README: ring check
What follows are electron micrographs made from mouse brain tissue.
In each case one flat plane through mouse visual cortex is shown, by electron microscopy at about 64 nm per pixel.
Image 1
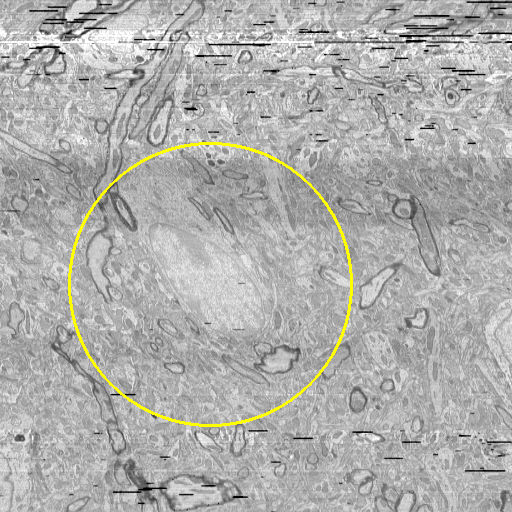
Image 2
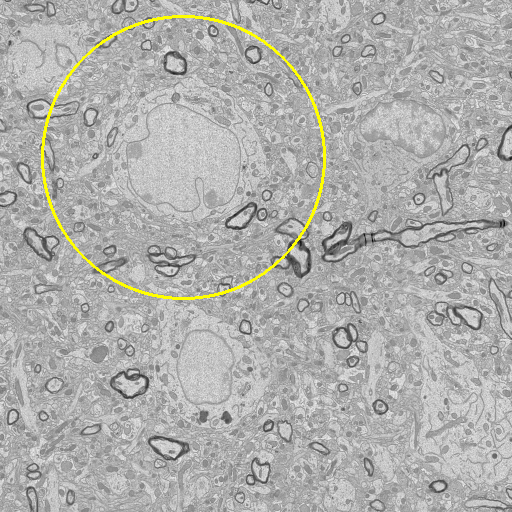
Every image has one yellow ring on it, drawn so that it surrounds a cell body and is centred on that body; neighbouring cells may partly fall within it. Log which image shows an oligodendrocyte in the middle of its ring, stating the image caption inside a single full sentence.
Image 1 is where the cell at the ring's centre matches the one asked for.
